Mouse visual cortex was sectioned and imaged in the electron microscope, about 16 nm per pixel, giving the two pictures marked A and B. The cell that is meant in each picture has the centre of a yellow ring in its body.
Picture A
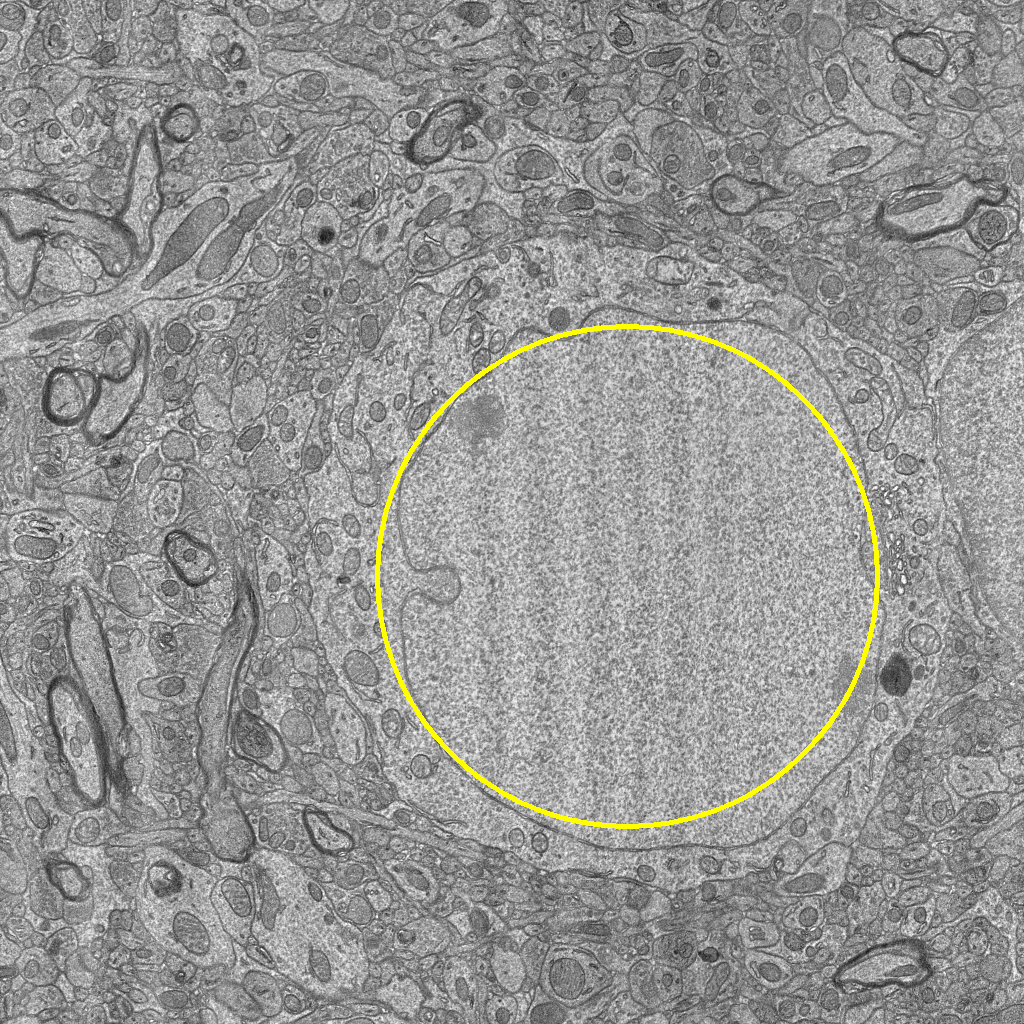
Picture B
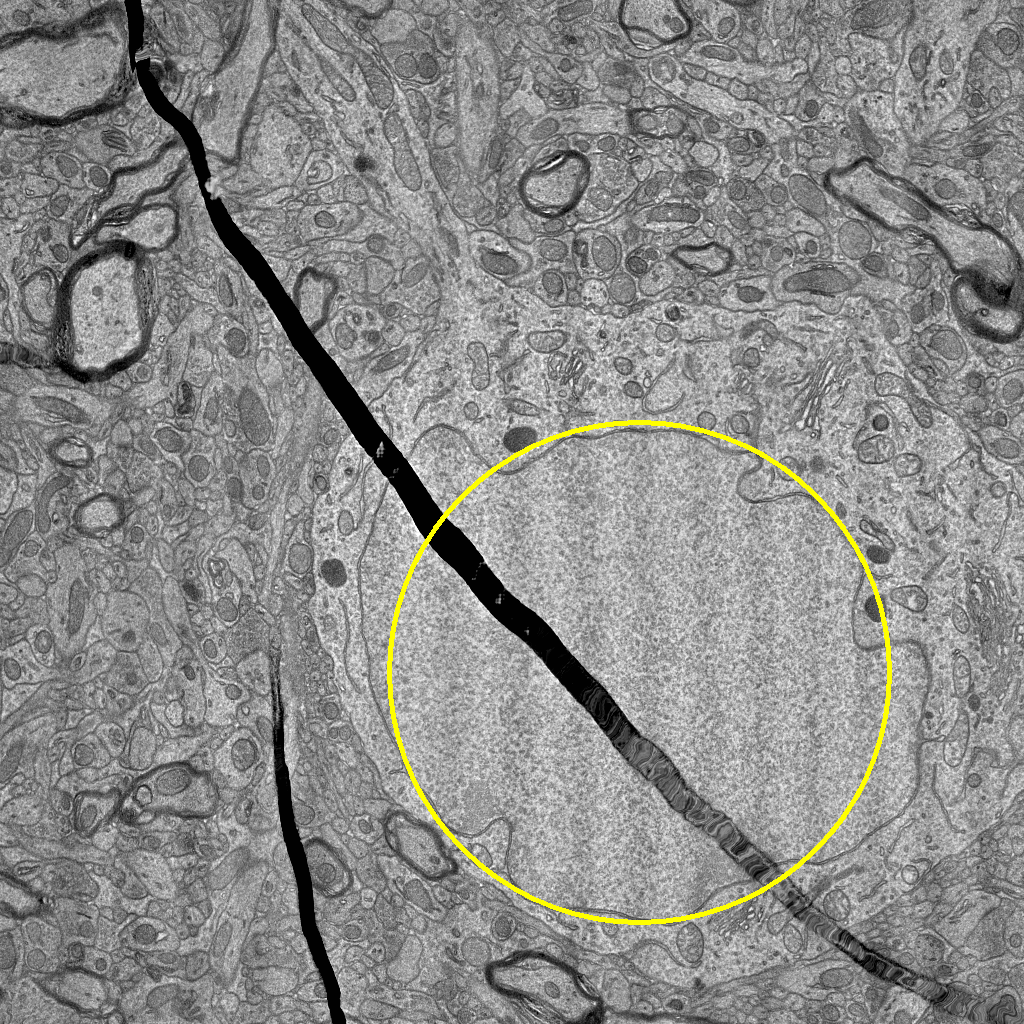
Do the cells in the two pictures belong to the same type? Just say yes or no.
no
